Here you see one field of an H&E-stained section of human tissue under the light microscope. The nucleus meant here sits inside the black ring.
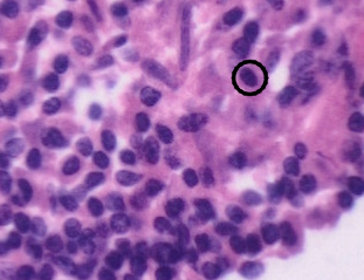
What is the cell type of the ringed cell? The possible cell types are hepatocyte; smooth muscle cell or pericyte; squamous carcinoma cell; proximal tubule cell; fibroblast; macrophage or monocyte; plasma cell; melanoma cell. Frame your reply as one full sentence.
On this particular slide, the ringed cell is a plasma cell.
